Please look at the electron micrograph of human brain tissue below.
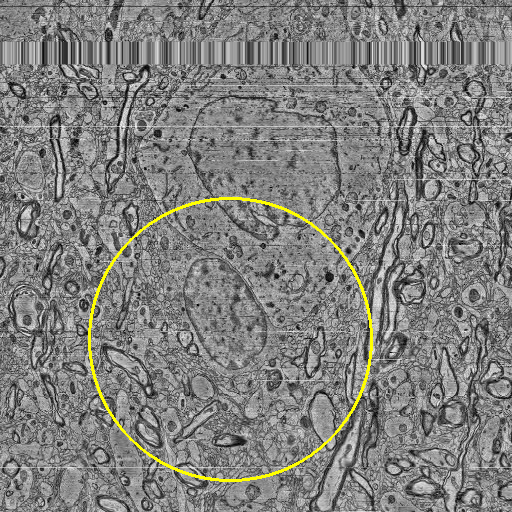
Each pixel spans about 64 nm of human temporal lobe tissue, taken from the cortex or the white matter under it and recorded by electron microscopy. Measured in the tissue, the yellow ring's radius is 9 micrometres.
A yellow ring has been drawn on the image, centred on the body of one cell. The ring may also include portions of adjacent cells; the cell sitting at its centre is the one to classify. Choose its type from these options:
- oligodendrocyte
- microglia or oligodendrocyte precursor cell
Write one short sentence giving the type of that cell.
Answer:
The cell in the middle of the ring is an oligodendrocyte.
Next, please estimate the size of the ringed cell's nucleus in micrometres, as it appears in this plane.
About 8 by 5 micrometers in this plane, so the nucleus is clearly longer than it is wide.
